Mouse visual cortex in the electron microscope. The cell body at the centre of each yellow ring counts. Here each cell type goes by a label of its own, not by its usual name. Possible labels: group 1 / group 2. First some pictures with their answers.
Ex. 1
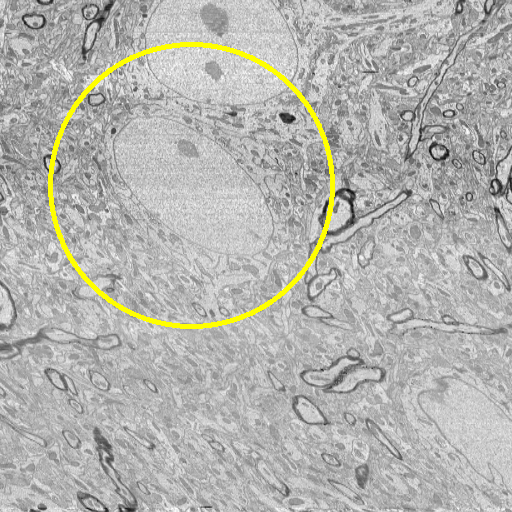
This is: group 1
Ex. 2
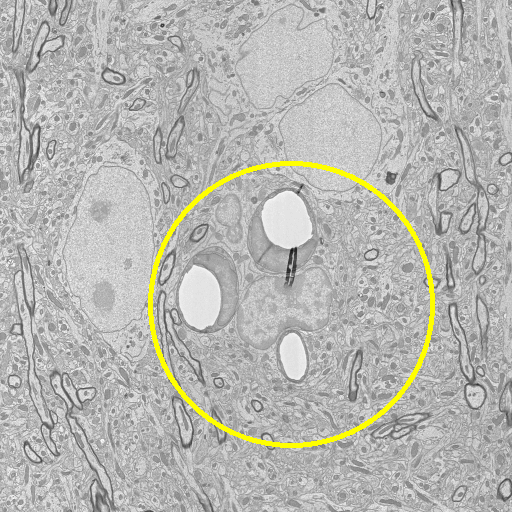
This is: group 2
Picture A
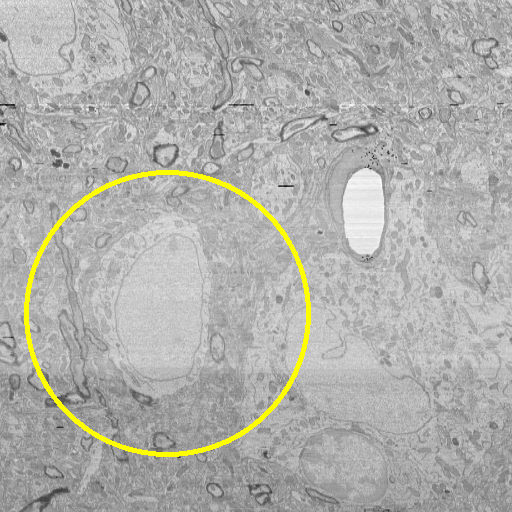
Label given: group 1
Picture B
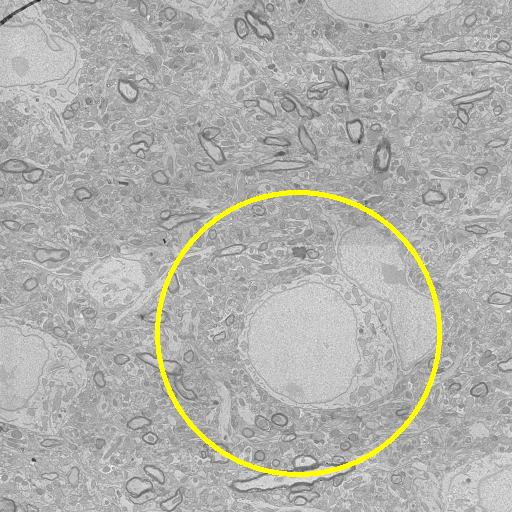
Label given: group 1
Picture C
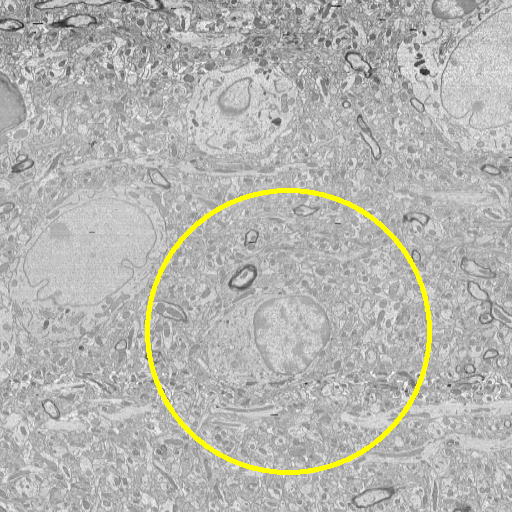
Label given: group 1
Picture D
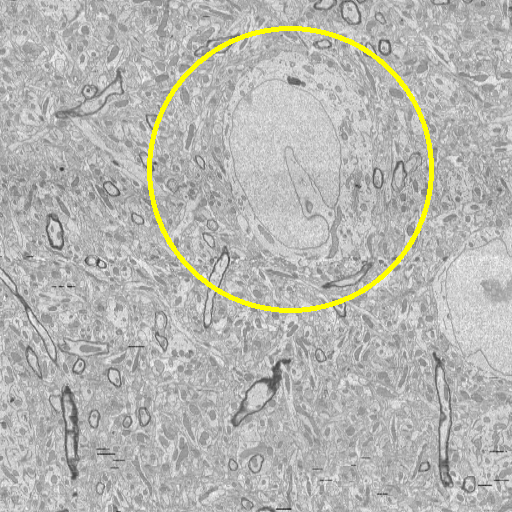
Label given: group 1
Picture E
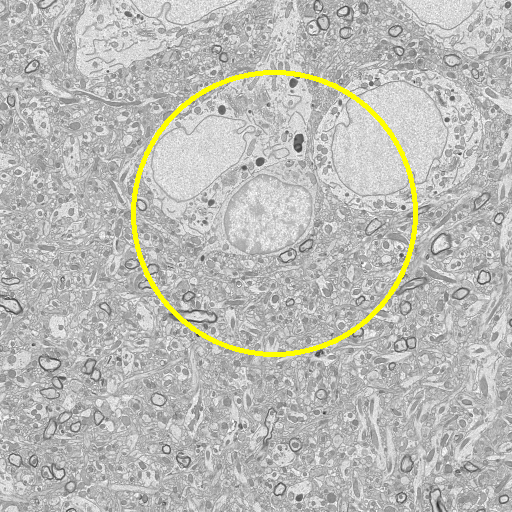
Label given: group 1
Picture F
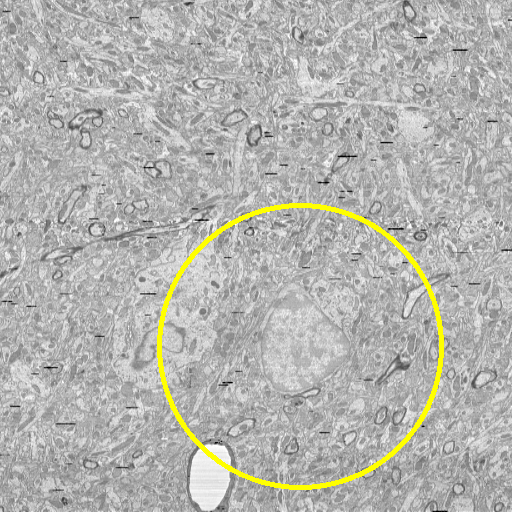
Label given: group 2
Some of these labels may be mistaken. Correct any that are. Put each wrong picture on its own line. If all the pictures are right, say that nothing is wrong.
C should be group 2, not group 1
E should be group 2, not group 1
